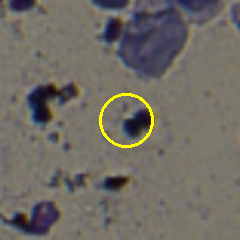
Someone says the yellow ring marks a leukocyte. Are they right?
They are right: it is a leukocyte.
